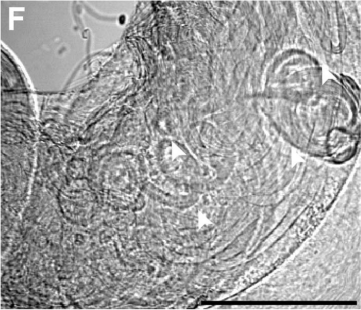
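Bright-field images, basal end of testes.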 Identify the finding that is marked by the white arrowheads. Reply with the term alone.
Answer: Disrupted tail bundles.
